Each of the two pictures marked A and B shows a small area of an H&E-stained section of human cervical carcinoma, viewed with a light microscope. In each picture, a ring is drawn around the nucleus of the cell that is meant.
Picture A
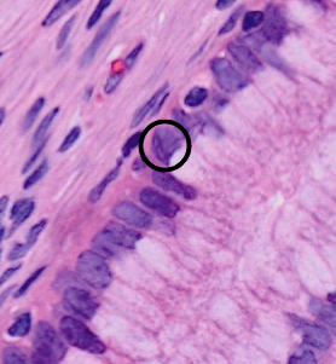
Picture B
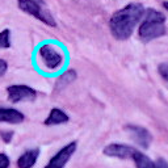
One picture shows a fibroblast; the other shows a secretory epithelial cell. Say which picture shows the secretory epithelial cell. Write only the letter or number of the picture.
A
